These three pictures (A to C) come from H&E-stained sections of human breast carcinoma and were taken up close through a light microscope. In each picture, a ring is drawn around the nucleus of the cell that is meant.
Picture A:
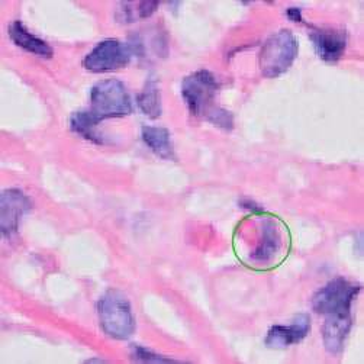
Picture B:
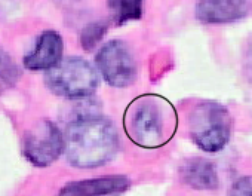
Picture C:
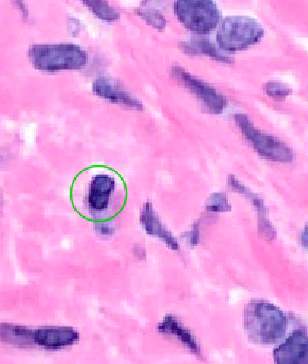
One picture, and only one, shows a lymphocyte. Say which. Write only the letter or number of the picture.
C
